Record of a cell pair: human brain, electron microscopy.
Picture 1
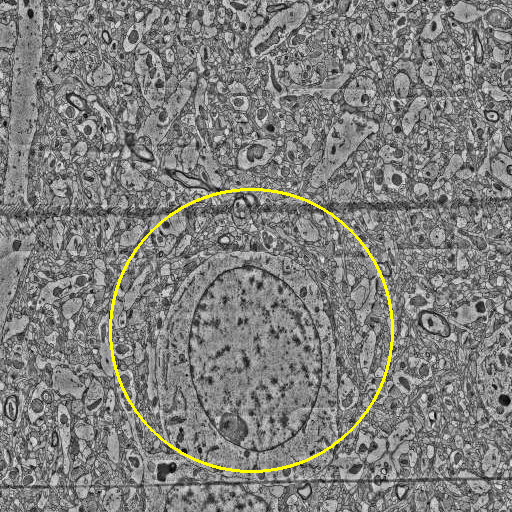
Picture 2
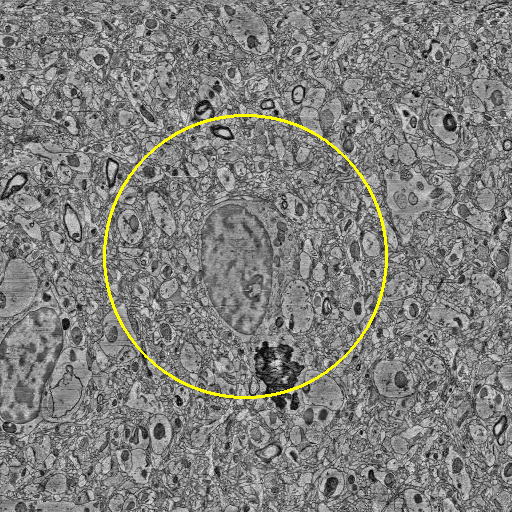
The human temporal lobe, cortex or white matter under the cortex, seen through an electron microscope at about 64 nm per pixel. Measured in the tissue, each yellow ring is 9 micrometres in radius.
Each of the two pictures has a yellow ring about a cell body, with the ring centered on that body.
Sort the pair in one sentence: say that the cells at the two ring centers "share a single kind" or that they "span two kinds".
The cells centered in the rings of Pictures 1 and 2 span two kinds.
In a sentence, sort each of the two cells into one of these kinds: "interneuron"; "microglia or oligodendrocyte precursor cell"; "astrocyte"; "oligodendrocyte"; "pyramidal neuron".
The first of the two cells is a pyramidal neuron, and the second is an oligodendrocyte.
